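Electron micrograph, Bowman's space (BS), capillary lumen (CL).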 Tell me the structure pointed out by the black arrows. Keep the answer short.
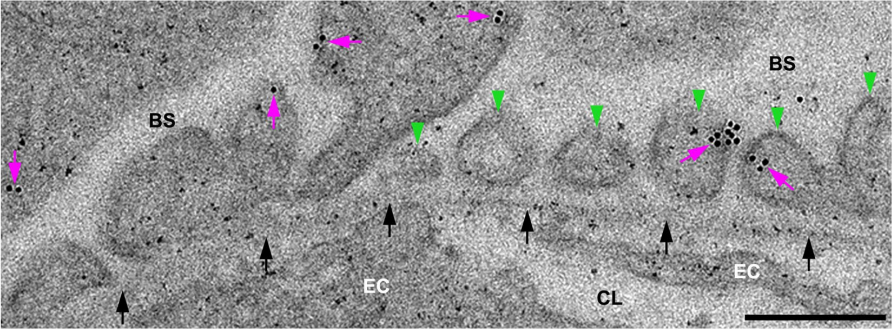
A: Glomerular basement membrane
